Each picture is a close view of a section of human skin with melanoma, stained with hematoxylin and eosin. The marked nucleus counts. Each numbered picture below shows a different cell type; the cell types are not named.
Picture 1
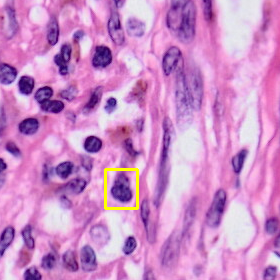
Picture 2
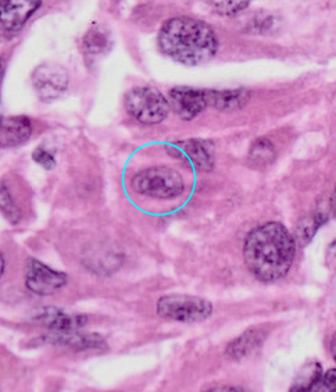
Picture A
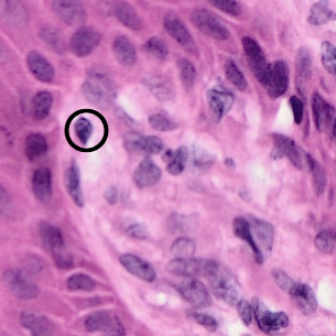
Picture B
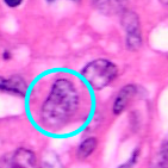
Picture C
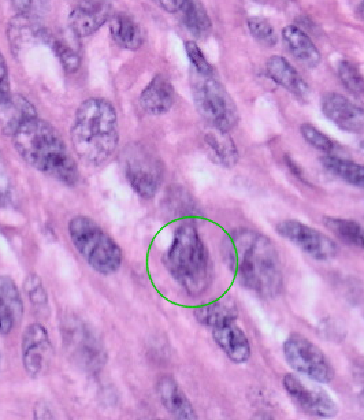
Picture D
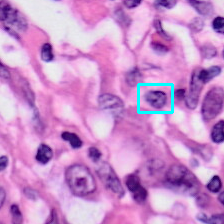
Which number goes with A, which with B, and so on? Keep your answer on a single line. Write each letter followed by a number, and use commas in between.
A 1, B 2, C 2, D 1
